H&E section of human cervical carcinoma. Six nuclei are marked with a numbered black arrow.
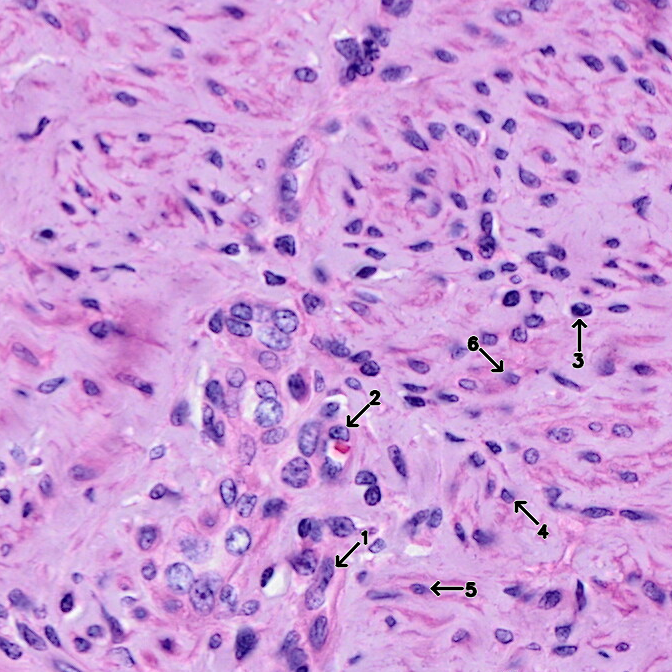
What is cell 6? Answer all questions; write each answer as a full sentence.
The numbered cell 6 is identified here as a smooth muscle cell.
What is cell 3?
Number 3 among the marked cells is a lymphocyte.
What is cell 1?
The cell marked with the number 1 is an endothelial cell.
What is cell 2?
The nucleus labeled 2 belongs to an endothelial cell.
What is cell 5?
Cell 5 should be recorded as a smooth muscle cell.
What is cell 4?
The nucleus with number 4 is that of a smooth muscle cell.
